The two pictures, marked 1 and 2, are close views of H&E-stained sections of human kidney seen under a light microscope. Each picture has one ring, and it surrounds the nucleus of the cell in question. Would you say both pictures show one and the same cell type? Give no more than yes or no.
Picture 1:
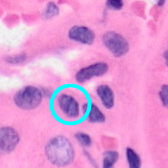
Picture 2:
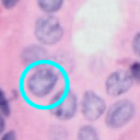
yes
